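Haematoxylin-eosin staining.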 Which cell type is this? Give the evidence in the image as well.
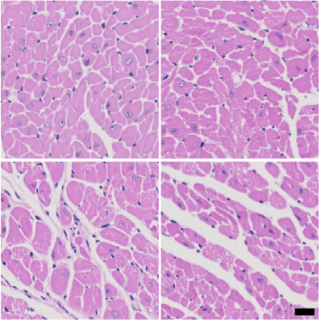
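Cardiomyocytes. Pink-staining polygonal and elongated muscle cells packed closely together. Oval purple nuclei lie within the cells. Thin pale spaces separate the cells.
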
